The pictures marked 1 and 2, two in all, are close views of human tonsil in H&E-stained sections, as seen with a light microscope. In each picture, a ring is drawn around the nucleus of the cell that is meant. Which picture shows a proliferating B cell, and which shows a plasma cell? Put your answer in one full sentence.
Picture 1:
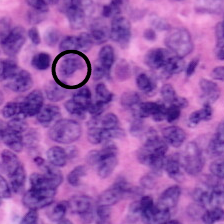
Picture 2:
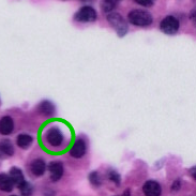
It is picture 1 that shows a proliferating B cell, and picture 2 that shows a plasma cell.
